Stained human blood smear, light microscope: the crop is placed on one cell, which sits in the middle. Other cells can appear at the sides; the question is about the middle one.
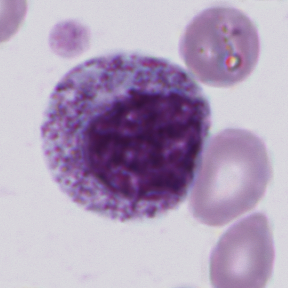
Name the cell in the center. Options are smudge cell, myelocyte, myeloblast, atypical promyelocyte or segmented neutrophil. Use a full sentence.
Present in the middle of the crop is a myelocyte.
